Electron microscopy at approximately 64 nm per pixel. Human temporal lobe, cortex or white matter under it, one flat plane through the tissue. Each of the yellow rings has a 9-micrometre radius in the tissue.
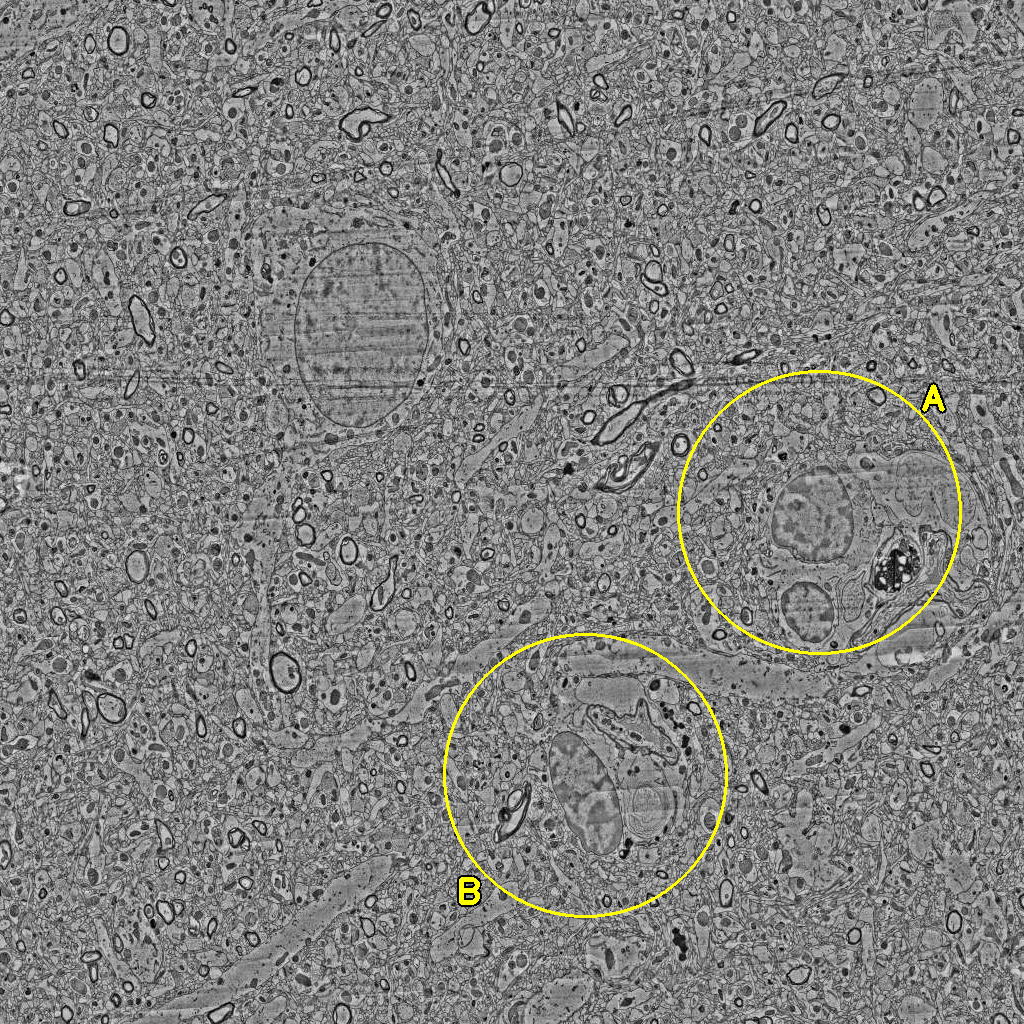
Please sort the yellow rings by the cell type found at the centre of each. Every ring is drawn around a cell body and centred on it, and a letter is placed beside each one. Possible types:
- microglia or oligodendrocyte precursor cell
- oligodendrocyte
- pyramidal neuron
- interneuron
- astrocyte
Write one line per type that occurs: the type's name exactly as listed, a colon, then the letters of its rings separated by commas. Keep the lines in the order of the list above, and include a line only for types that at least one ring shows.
microglia or oligodendrocyte precursor cell: B
oligodendrocyte: A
